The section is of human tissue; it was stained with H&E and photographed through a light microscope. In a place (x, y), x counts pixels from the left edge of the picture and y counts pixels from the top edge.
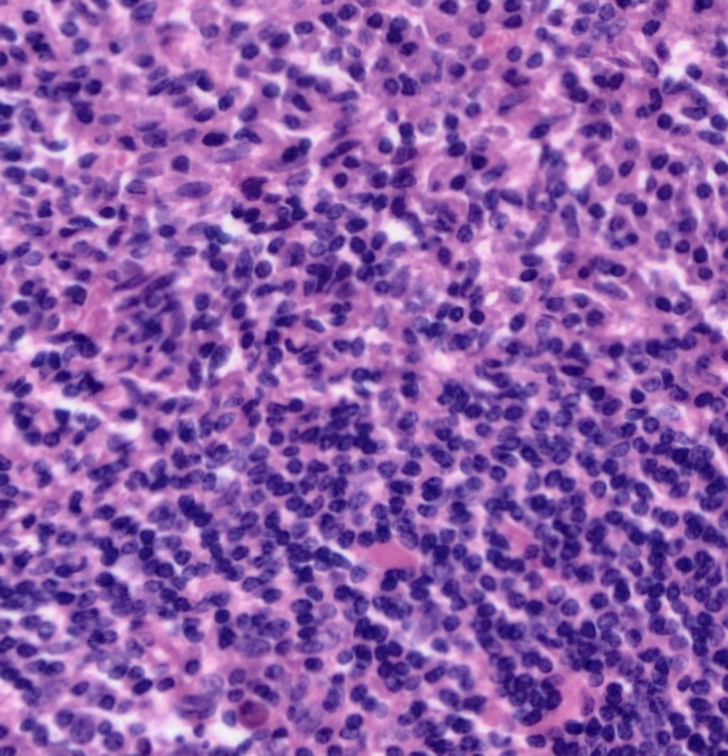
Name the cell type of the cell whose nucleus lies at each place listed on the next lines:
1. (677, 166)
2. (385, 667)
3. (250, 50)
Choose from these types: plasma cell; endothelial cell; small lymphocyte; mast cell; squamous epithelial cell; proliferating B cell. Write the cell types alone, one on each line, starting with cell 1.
plasma cell
small lymphocyte
plasma cell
